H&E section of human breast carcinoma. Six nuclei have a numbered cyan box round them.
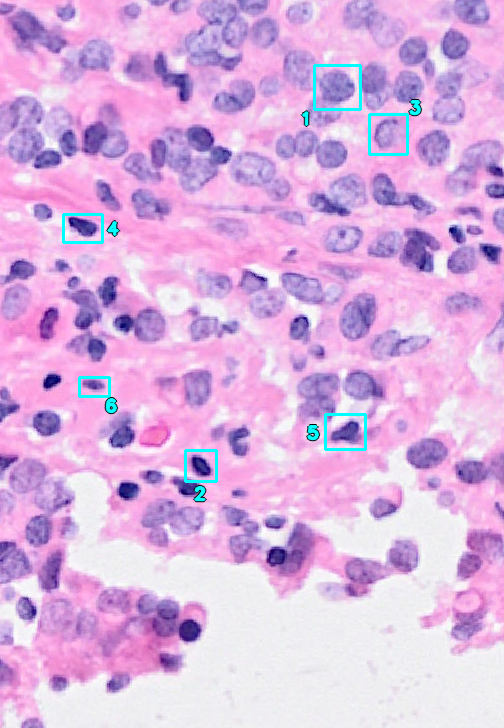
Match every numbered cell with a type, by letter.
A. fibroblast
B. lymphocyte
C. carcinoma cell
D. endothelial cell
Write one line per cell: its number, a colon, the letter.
1: C
2: B
3: C
4: B
5: B
6: B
